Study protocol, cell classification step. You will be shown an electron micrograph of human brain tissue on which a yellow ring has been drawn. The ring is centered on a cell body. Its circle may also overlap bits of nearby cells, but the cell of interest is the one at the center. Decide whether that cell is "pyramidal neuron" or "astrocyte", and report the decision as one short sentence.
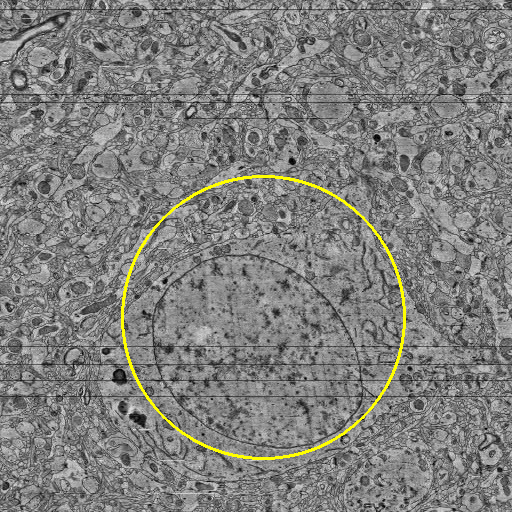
The marked cell is a pyramidal neuron.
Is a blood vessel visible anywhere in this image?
No, no blood vessel shows in the picture.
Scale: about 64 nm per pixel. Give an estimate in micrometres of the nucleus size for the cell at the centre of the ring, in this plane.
In this plane, about 15 micrometres in length and 12 in width.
